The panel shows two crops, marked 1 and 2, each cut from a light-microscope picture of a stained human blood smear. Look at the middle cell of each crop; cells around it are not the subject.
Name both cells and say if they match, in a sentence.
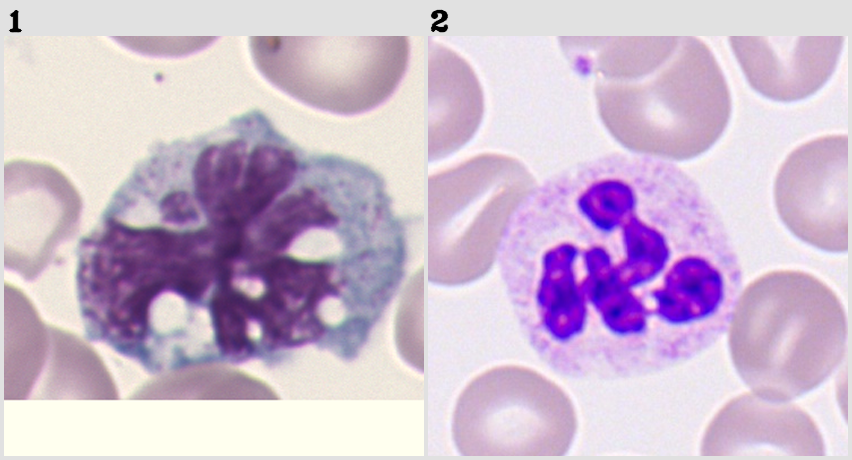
No, a monocyte is what occupies crop 1, and a segmented neutrophil is what occupies crop 2.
